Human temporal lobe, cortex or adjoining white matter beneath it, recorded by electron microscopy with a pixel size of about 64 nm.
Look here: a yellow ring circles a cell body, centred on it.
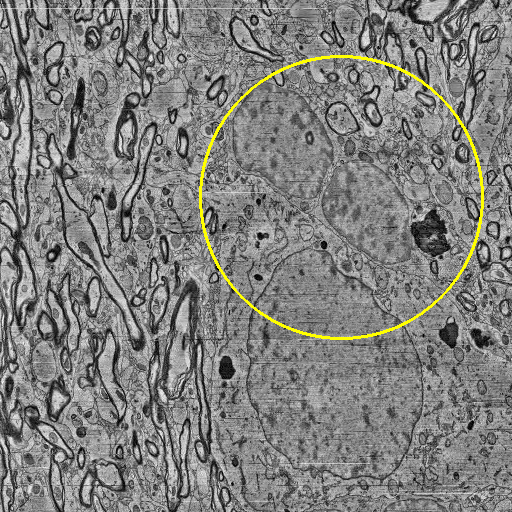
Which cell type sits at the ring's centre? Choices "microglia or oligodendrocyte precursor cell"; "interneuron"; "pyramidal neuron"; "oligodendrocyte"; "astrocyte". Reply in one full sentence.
The cell at the centre of the yellow ring in the picture is an oligodendrocyte.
